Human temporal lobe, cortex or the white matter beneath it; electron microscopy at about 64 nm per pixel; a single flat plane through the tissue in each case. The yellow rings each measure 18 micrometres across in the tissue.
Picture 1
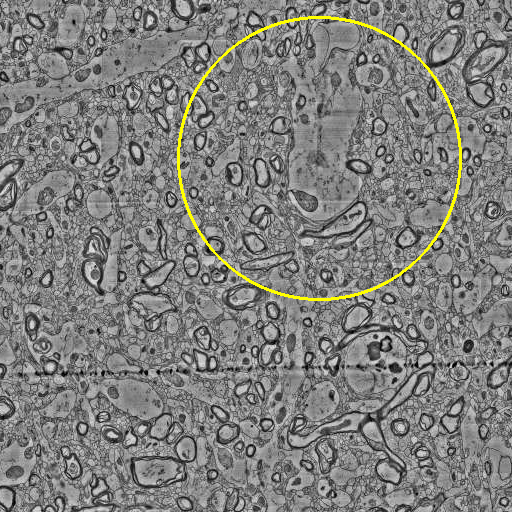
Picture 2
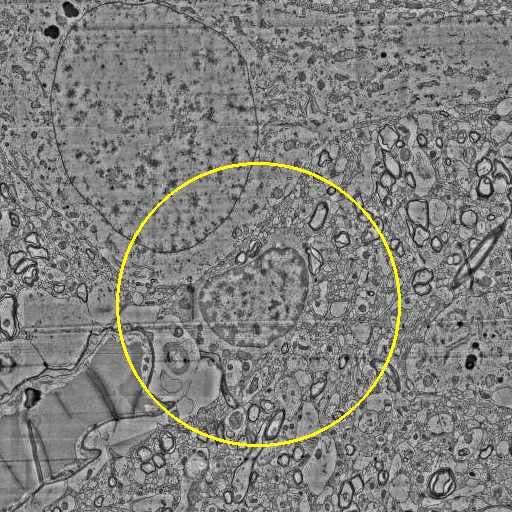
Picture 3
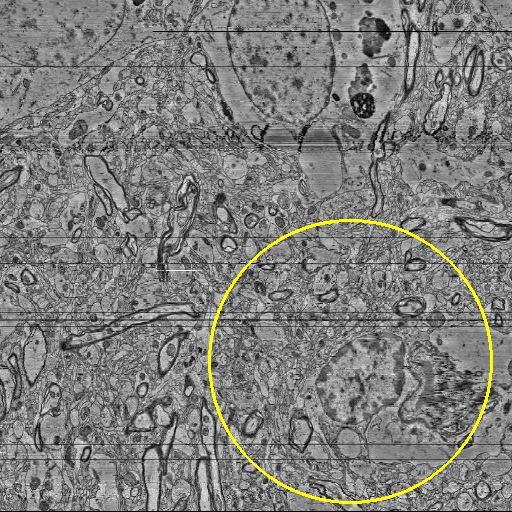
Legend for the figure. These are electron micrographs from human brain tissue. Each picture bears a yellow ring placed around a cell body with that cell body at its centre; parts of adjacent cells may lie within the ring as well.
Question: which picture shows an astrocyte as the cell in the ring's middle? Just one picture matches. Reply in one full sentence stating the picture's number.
It is picture 1 whose yellow ring is centred on the requested cell.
